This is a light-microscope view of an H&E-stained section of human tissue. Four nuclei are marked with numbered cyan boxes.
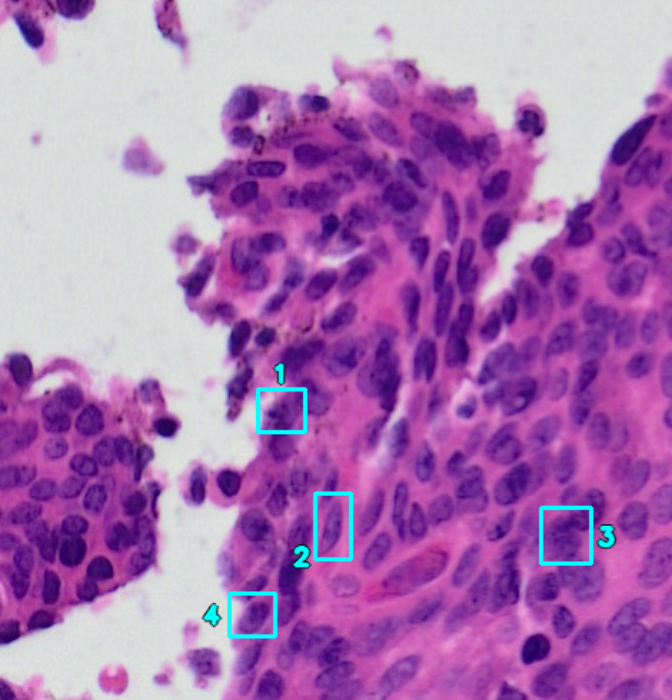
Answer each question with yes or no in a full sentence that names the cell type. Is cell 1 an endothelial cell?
No, calling cell 1 an endothelial cell is incorrect; it is a carcinoma cell.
